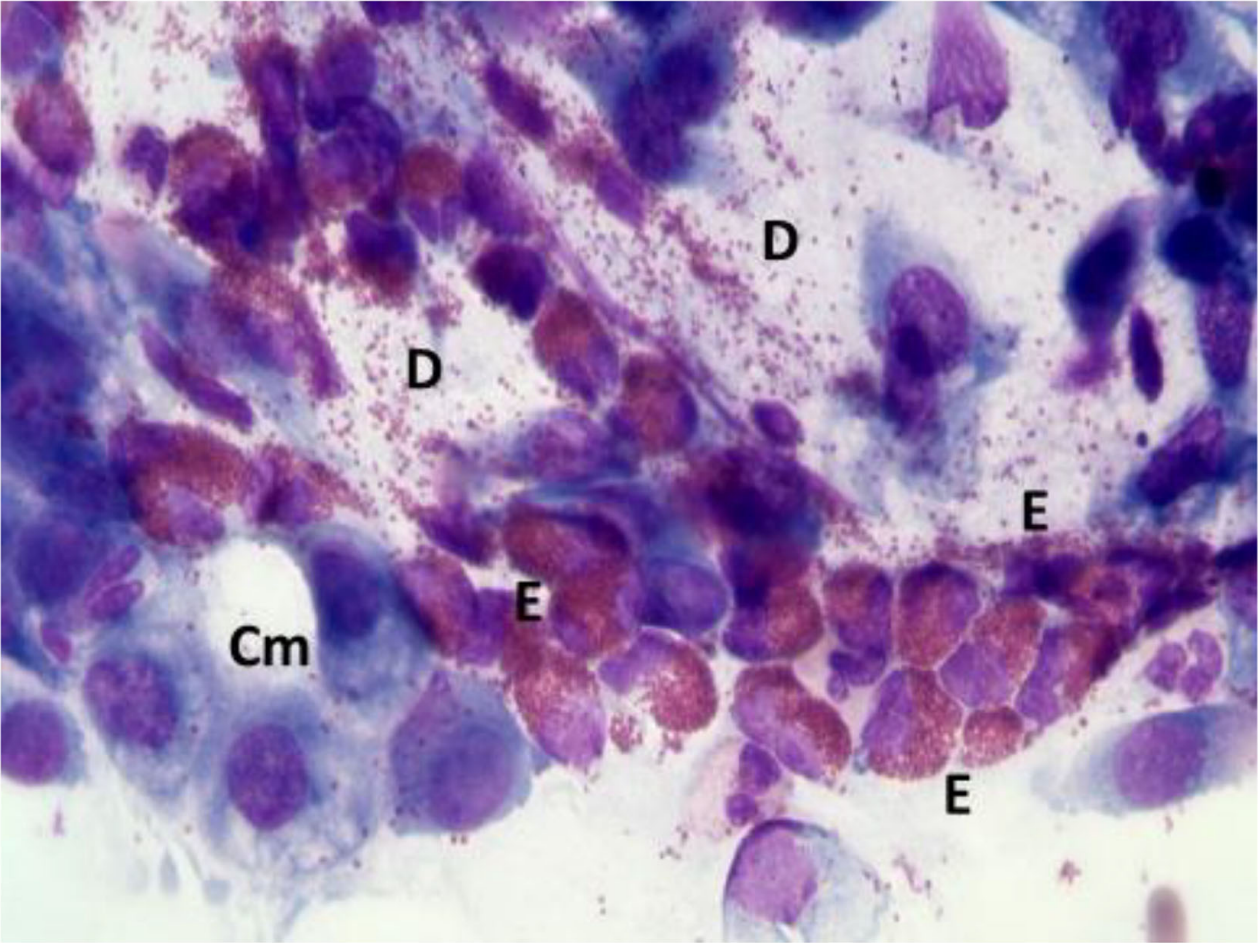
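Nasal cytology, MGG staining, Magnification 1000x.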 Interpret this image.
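The eosinophils are rounded cells crowded in clusters; their cytoplasm is packed with coarse orange-red granules, and their nuclei are purple. Between the cells, numerous fine red granules lie scattered free in streaks across the pale background. At lower left, a mucous cell shows a large clear vacuole, next to bluish-grey cells with round purple nuclei.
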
